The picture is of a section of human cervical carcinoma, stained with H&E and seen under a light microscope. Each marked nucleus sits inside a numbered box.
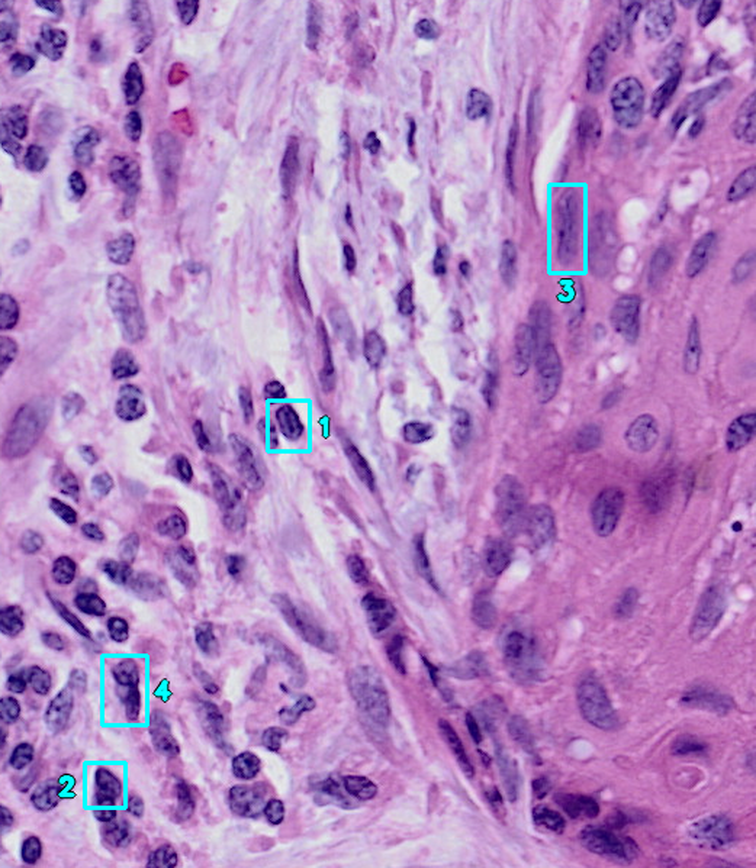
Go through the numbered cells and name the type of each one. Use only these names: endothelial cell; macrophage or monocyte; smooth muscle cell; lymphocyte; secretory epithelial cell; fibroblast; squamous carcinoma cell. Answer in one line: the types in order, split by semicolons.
lymphocyte; lymphocyte; squamous carcinoma cell; lymphocyte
